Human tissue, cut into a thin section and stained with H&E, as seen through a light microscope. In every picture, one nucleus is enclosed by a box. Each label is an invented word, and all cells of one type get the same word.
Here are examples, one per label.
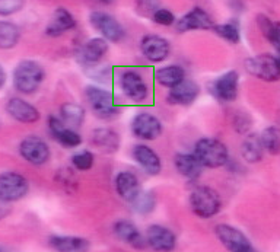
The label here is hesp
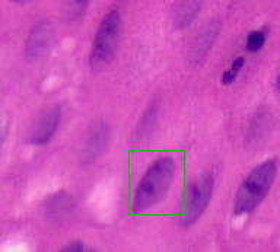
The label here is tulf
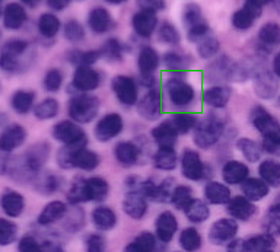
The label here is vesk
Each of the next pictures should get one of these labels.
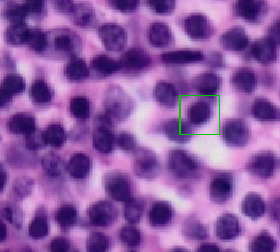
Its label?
vesk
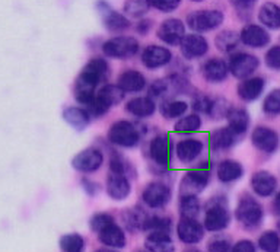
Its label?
vesk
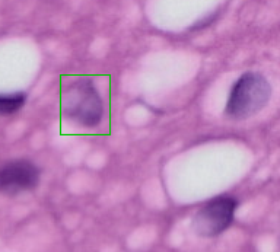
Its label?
tulf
